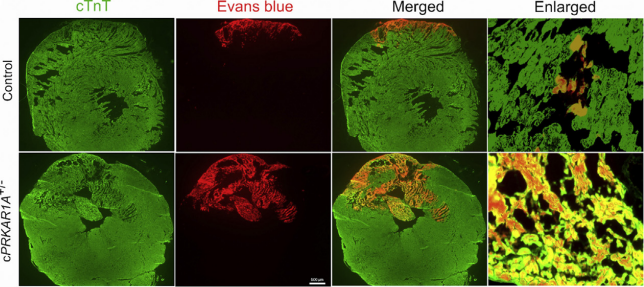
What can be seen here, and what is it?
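These are whole cross-sections of the heart ventricle, with the heart muscle shown in green. The ventricular wall surrounds a central cavity. Where red and green coincide in the merged images, the fibres appear yellow to orange.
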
